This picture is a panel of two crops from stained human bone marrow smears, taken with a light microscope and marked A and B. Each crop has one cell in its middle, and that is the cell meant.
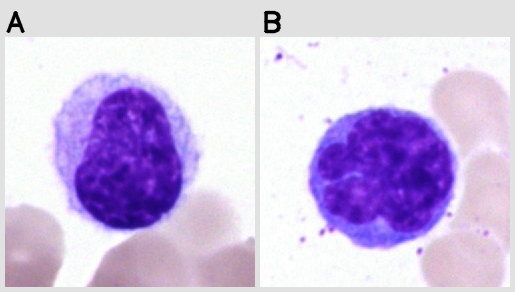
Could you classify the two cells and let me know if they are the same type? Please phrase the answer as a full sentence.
No, it is crop A that shows a hairy cell, and crop B that shows a monocyte.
